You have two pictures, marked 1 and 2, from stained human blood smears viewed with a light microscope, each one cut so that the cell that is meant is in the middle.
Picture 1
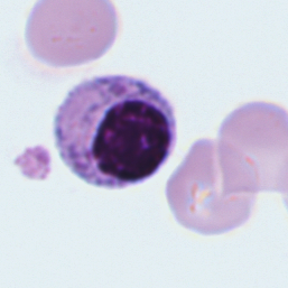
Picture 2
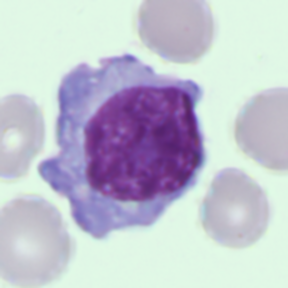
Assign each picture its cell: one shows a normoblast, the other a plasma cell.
1: normoblast
2: plasma cell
